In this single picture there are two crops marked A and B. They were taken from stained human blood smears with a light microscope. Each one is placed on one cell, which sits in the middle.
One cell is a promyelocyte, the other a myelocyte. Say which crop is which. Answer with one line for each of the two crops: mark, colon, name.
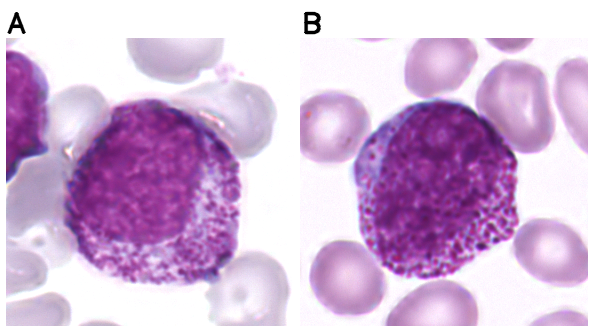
A: myelocyte
B: promyelocyte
